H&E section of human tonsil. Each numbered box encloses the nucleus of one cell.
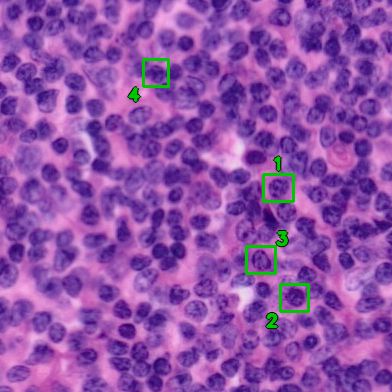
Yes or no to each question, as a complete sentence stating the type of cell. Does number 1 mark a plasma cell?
Yes, the cell given number 1 is a plasma cell.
